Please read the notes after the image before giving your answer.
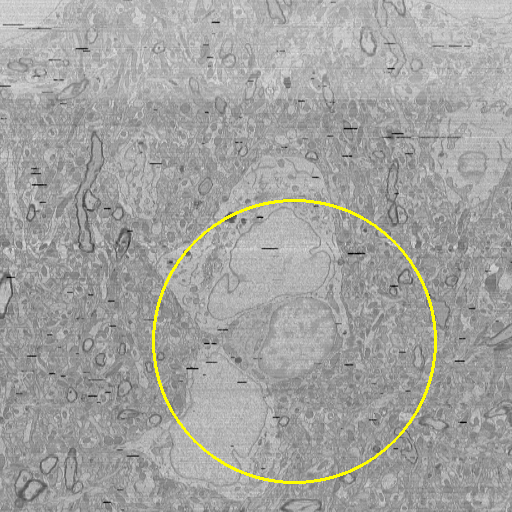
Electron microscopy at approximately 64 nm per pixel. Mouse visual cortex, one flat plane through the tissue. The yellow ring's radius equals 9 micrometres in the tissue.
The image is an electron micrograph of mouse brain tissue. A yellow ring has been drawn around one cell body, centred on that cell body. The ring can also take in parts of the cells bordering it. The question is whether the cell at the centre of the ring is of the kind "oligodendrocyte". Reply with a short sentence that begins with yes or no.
Yes, the cell at the centre is of that kind.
